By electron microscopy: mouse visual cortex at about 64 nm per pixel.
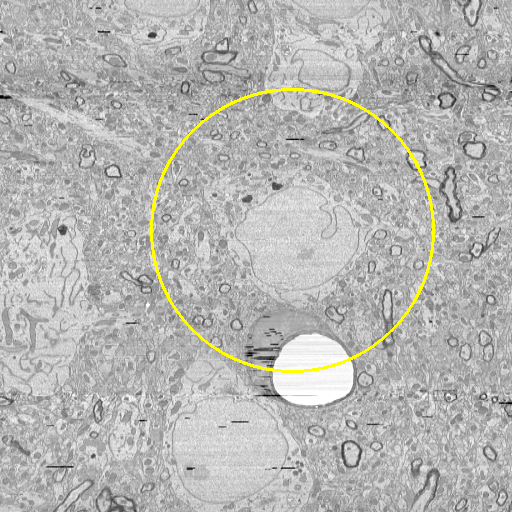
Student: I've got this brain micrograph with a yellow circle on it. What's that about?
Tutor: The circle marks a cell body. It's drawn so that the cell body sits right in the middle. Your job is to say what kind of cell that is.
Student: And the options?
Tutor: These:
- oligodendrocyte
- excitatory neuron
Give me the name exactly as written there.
excitatory neuron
